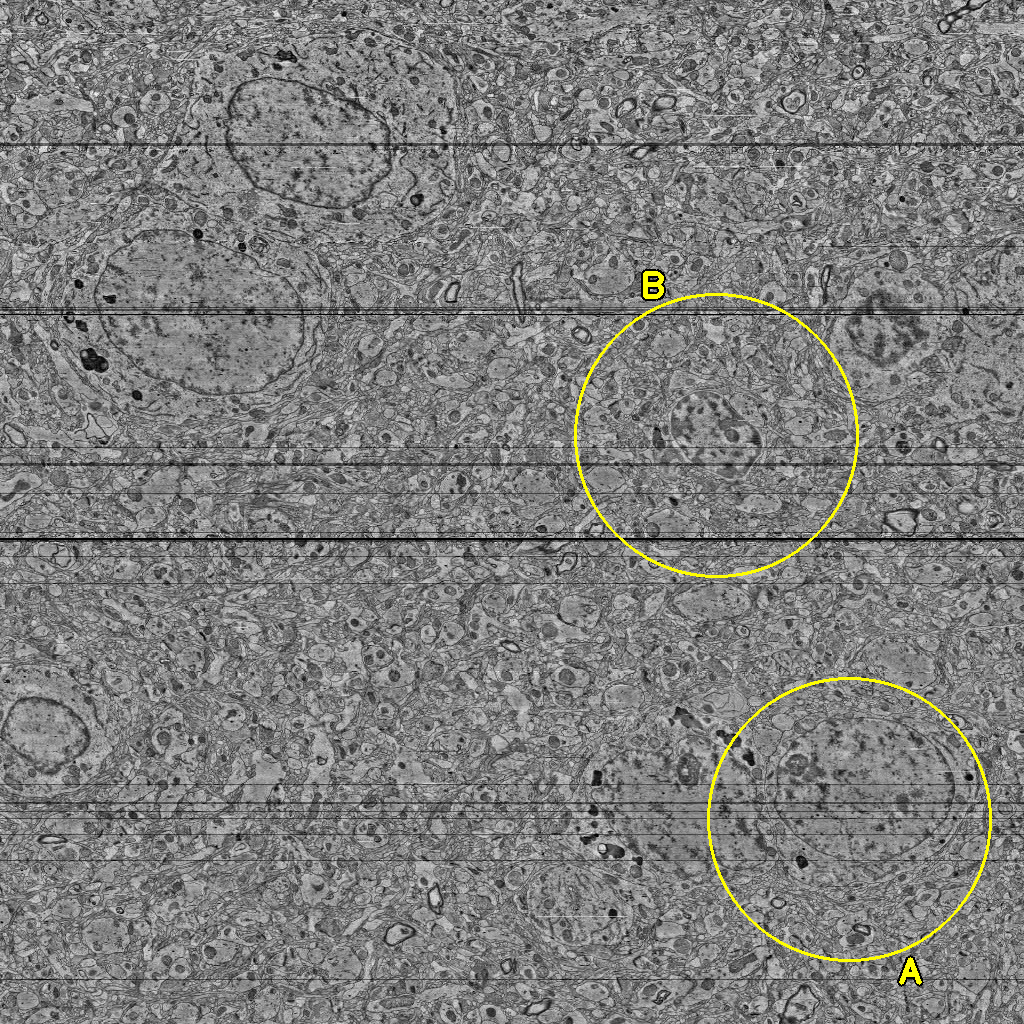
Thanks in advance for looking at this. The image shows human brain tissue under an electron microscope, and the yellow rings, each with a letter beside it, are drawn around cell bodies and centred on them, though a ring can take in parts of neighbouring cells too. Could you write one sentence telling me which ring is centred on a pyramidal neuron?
Ring A is centred on it.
